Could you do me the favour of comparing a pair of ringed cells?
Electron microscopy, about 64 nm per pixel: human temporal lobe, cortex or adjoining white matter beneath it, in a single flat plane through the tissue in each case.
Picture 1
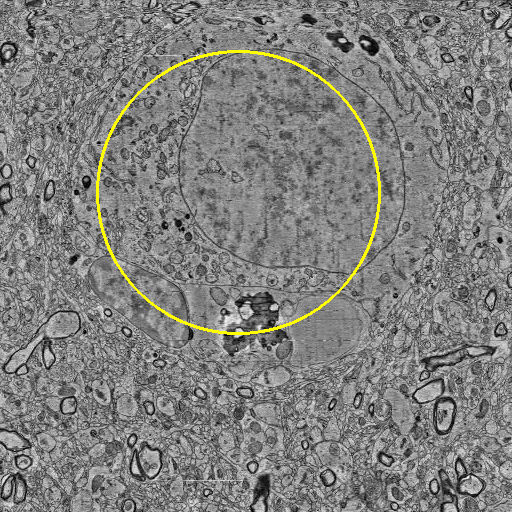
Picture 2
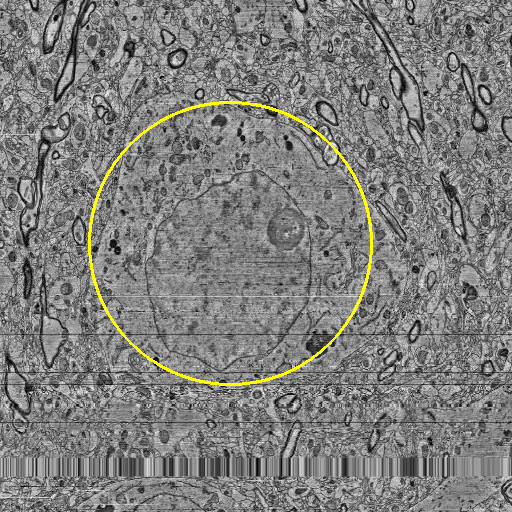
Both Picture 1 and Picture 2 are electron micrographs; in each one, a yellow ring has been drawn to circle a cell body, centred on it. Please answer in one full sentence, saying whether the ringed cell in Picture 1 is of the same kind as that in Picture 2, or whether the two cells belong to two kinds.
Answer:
The ringed cell in Picture 1 is of the same kind as that in Picture 2.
